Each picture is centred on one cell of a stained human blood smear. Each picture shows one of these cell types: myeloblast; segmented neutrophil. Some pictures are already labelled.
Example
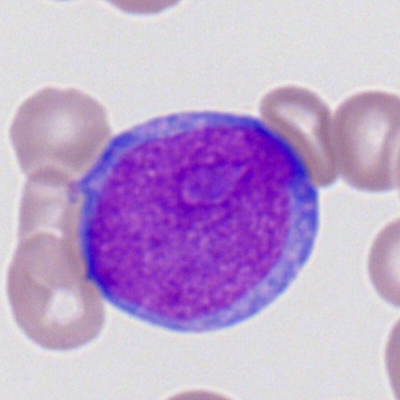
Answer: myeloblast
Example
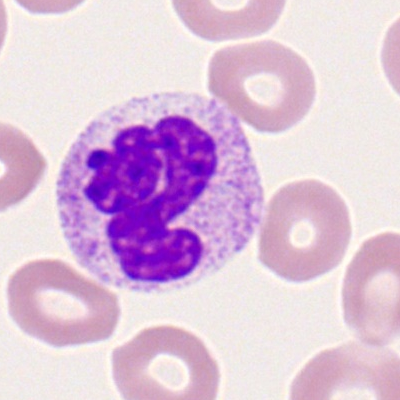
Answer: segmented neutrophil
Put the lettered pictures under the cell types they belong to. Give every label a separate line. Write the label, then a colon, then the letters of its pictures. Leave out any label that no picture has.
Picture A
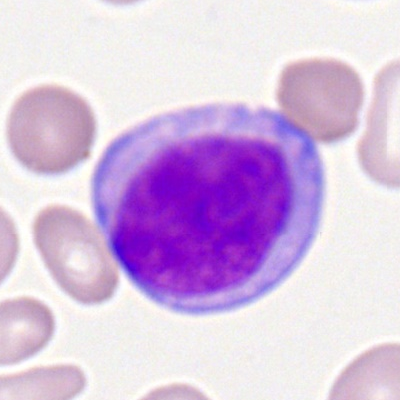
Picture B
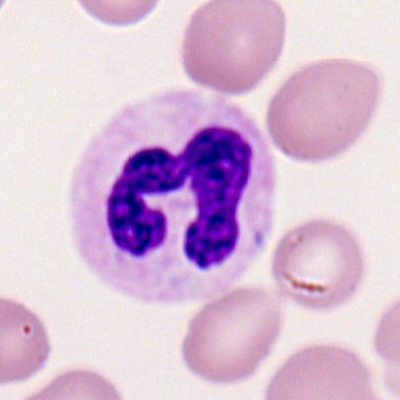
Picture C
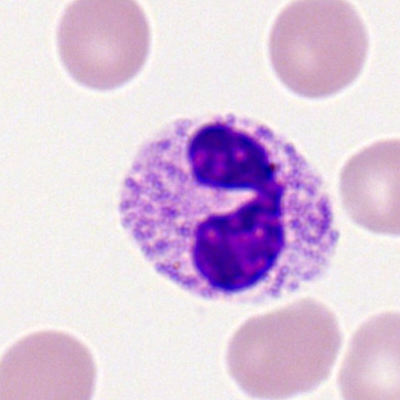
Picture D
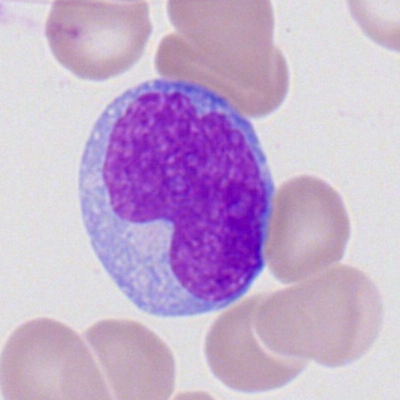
myeloblast: A, D
segmented neutrophil: B, C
